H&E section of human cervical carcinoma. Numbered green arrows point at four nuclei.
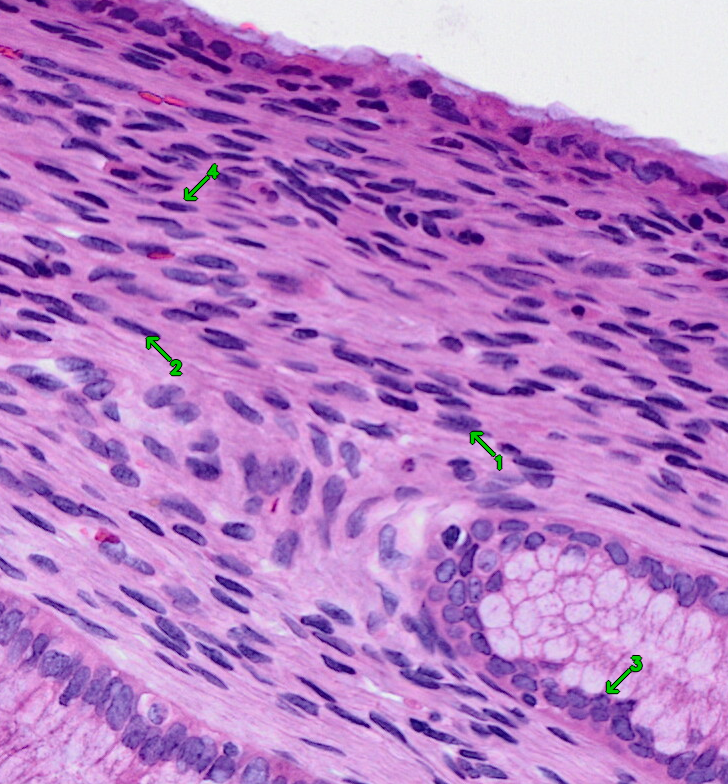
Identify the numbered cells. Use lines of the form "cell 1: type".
cell 1: fibroblast
cell 2: fibroblast
cell 3: secretory epithelial cell
cell 4: fibroblast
